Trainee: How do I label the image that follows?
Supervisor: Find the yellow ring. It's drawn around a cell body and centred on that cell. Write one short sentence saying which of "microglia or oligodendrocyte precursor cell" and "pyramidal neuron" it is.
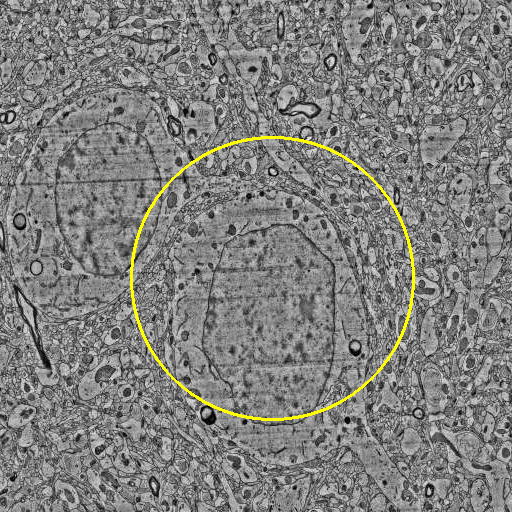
This is the cell body of a pyramidal neuron.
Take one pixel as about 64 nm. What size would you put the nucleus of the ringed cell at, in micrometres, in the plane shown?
In this plane the nucleus is roughly 13 by 8 micrometres, clearly longer than it is wide.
